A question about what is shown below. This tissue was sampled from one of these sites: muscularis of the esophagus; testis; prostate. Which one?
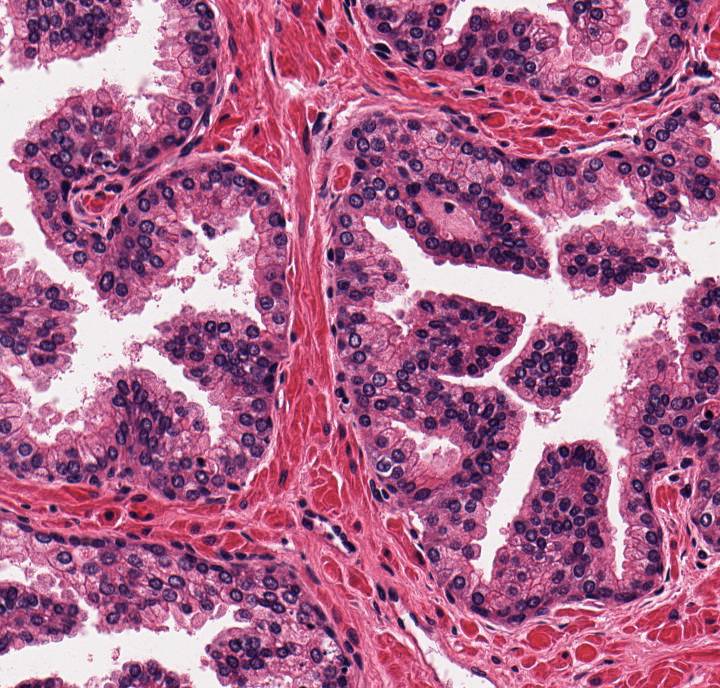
prostate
